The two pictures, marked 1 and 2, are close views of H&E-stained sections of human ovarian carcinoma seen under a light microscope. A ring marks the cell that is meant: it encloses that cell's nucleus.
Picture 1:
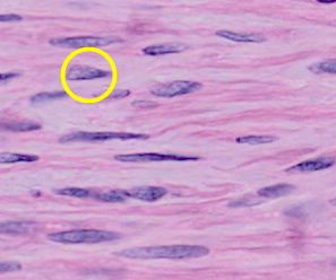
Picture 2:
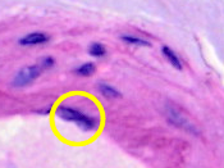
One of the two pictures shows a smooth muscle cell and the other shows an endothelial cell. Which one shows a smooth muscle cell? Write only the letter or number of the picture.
1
